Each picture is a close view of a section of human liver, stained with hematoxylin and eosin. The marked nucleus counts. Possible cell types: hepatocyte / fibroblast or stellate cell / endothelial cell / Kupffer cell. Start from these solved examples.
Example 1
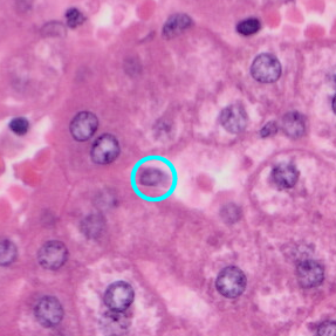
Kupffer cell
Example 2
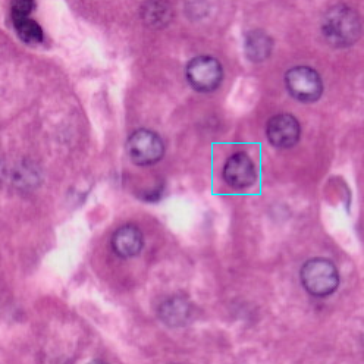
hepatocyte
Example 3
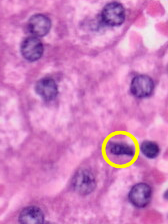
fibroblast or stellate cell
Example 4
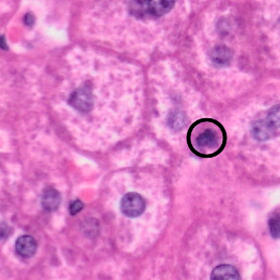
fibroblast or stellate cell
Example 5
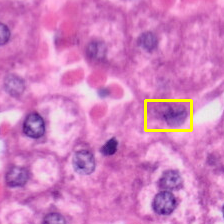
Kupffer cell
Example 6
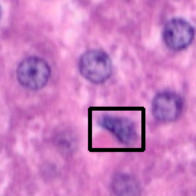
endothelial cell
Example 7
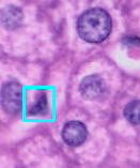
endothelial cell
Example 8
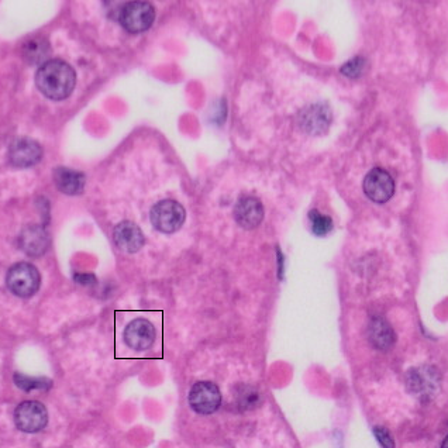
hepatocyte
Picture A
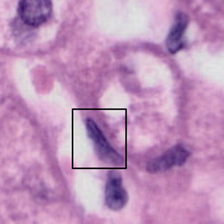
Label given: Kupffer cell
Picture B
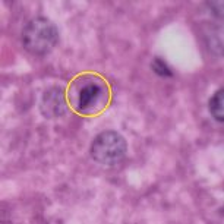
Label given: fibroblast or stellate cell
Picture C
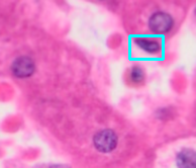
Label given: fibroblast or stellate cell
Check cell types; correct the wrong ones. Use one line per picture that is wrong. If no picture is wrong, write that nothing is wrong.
None of the labels needs changing.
